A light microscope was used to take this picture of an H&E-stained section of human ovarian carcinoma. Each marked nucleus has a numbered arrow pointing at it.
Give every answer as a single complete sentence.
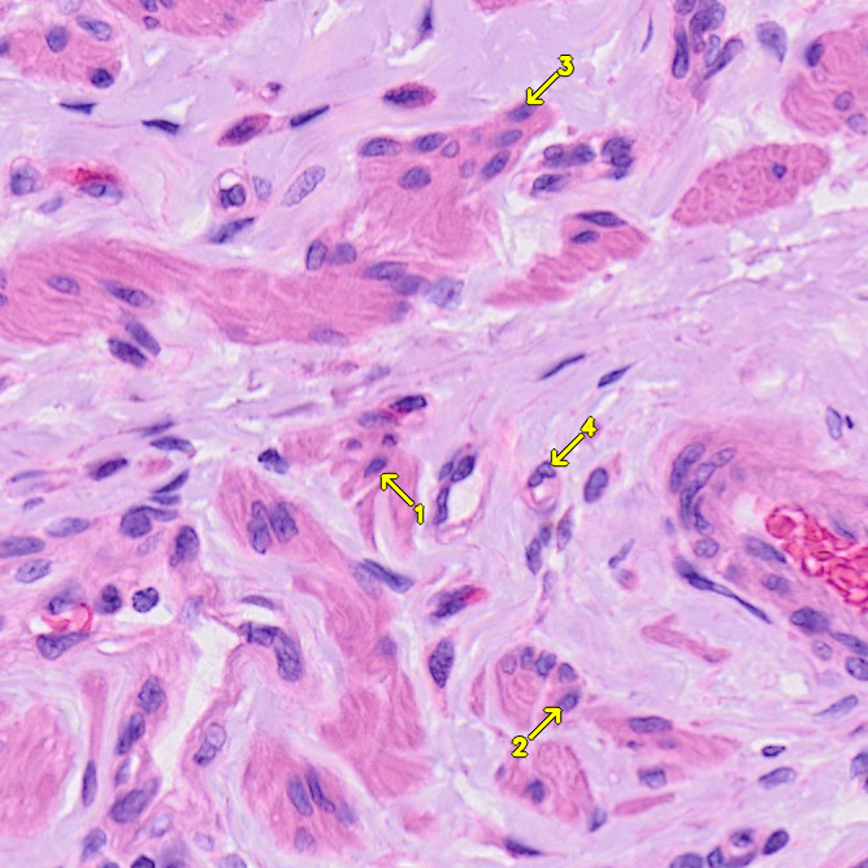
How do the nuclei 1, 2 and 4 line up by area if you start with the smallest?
By area, going up from the smallest, they rank 1, 2, 4.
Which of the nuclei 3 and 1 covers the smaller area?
The smaller nucleus is 1, and 3 covers roughly 1.5 times its area.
